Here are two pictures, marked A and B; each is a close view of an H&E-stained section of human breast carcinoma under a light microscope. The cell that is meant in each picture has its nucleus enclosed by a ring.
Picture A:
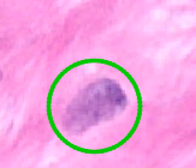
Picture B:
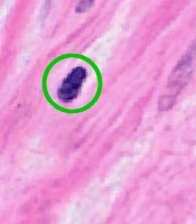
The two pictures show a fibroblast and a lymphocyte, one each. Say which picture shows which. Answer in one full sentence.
Picture B shows a lymphocyte, while picture A shows a fibroblast.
